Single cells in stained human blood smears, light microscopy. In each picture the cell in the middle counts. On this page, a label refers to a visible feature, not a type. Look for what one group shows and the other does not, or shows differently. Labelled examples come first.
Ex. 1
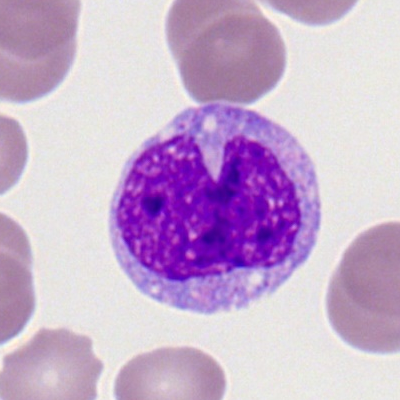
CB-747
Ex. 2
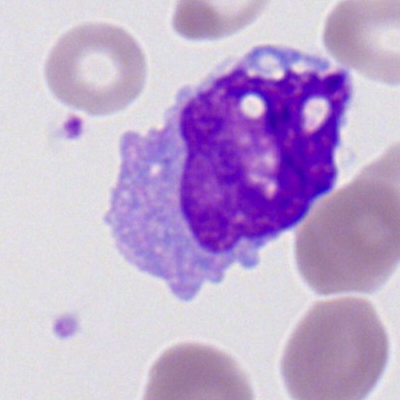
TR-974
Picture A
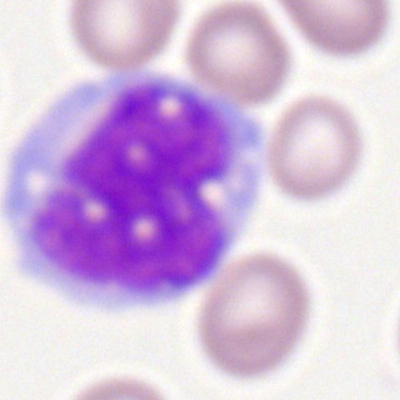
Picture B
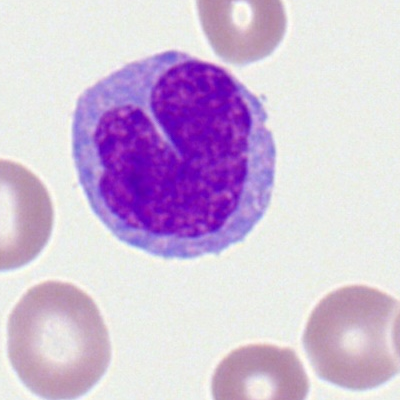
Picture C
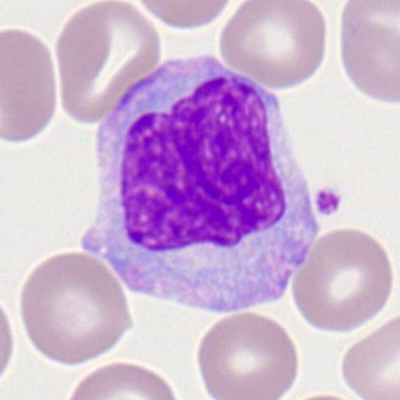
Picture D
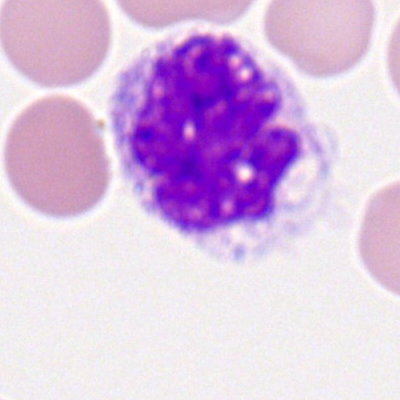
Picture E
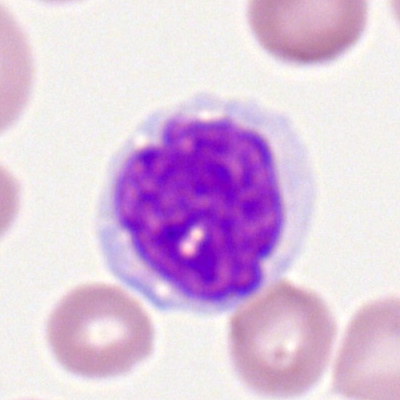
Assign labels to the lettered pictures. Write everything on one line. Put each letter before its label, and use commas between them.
A CB-747, B CB-747, C TR-974, D CB-747, E CB-747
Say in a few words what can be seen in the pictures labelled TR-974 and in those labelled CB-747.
Seen in TR-974: abundant cytoplasm; seen in CB-747: scant cytoplasm.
